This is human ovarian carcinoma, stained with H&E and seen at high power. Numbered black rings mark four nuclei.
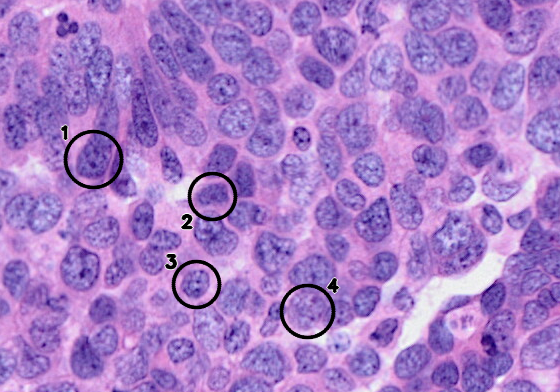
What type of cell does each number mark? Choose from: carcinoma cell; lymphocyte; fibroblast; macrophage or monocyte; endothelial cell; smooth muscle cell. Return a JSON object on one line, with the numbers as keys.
{"1": "carcinoma cell", "2": "carcinoma cell", "3": "macrophage or monocyte", "4": "carcinoma cell"}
